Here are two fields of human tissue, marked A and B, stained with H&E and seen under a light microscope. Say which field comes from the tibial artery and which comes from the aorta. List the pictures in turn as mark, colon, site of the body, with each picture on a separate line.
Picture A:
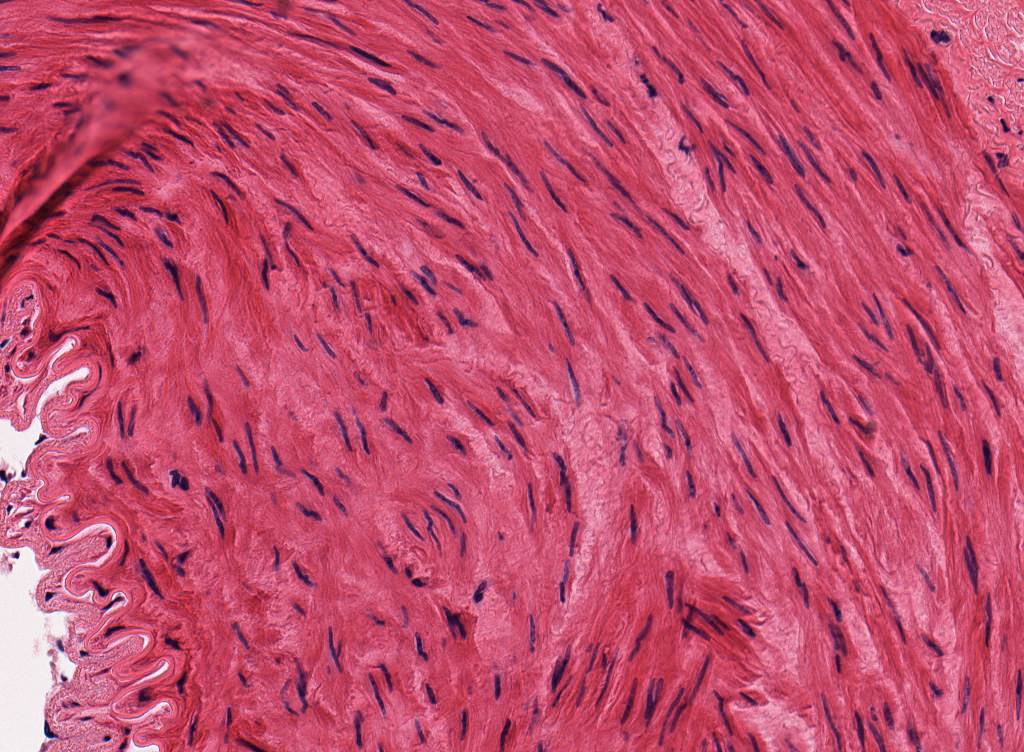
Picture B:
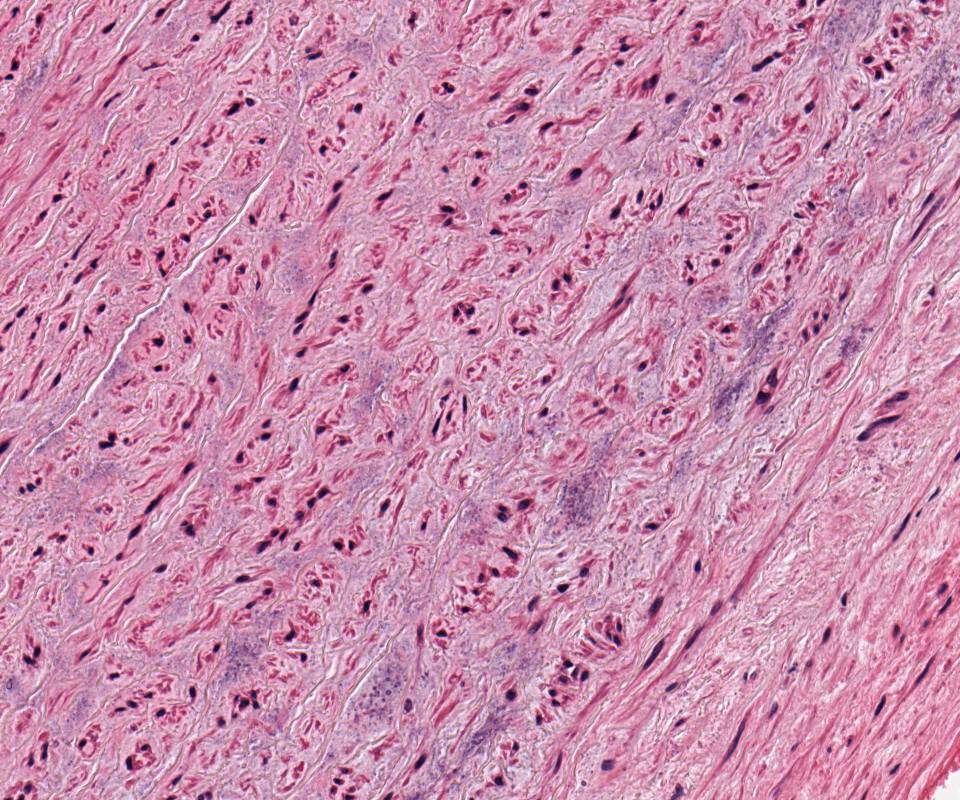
A: tibial artery
B: aorta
